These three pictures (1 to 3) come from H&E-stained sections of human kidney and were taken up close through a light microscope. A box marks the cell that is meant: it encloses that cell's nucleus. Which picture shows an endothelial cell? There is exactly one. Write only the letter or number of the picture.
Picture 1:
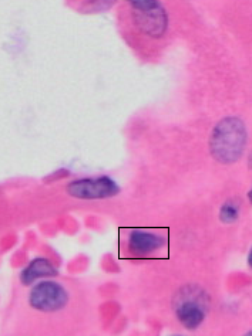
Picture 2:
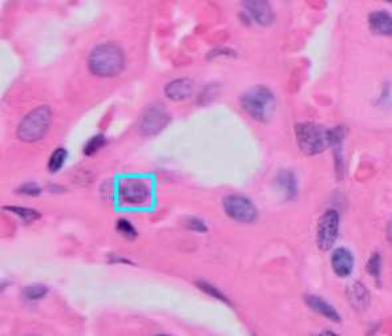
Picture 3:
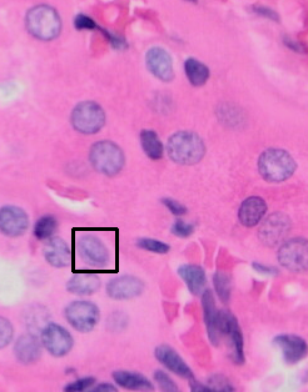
1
